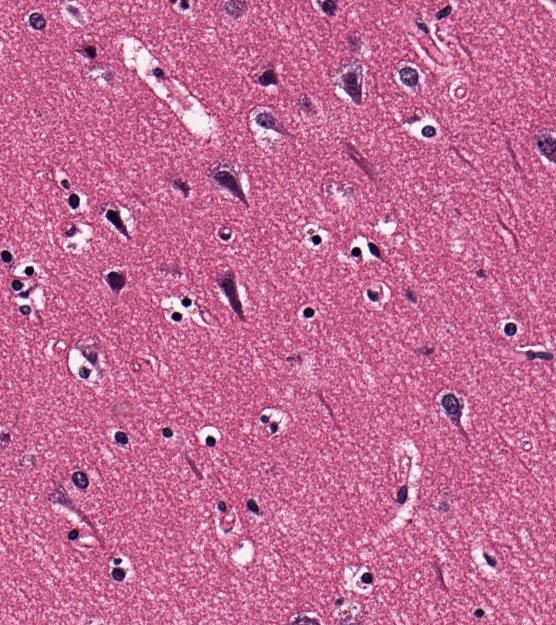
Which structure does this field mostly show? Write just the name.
cerebral cortex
